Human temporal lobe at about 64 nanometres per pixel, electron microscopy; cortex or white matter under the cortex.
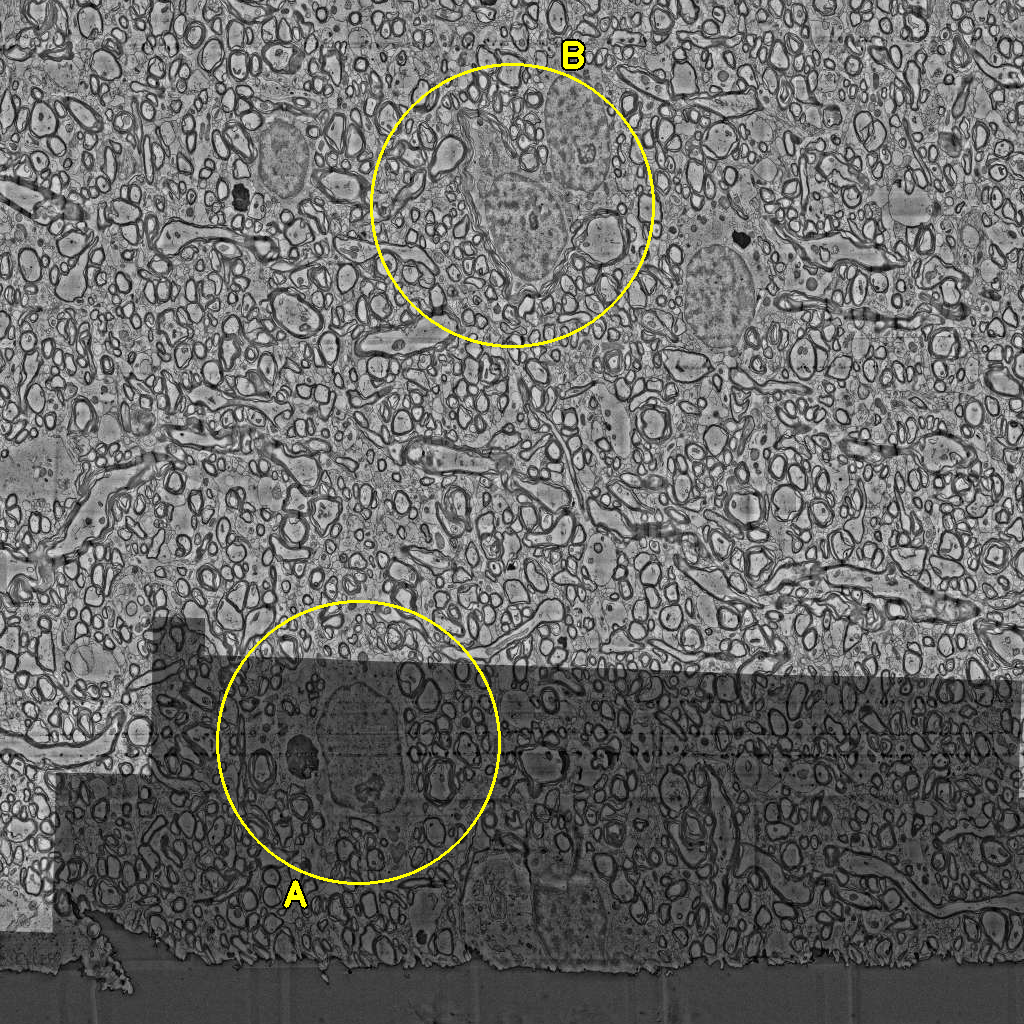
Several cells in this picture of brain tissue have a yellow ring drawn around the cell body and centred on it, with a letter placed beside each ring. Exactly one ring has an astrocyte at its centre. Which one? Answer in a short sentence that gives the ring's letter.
Ring A is centred on it.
